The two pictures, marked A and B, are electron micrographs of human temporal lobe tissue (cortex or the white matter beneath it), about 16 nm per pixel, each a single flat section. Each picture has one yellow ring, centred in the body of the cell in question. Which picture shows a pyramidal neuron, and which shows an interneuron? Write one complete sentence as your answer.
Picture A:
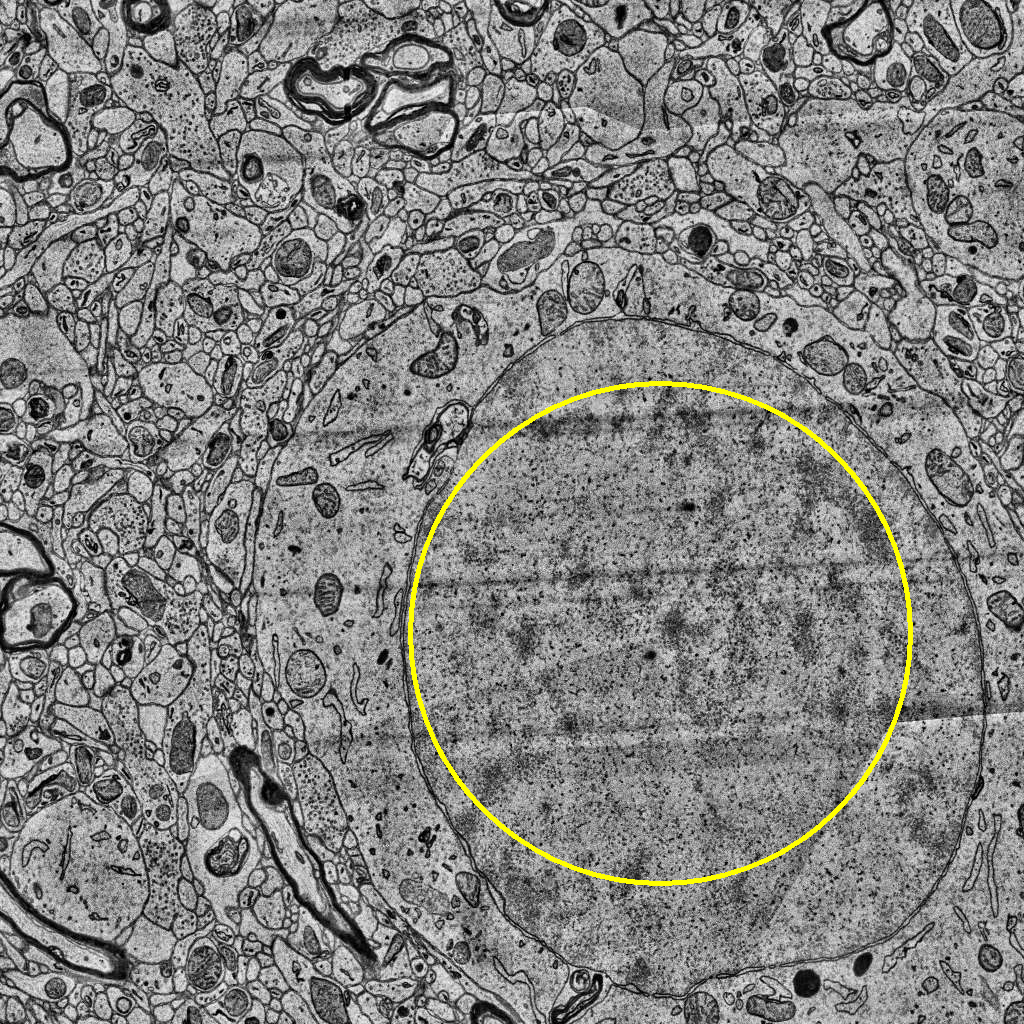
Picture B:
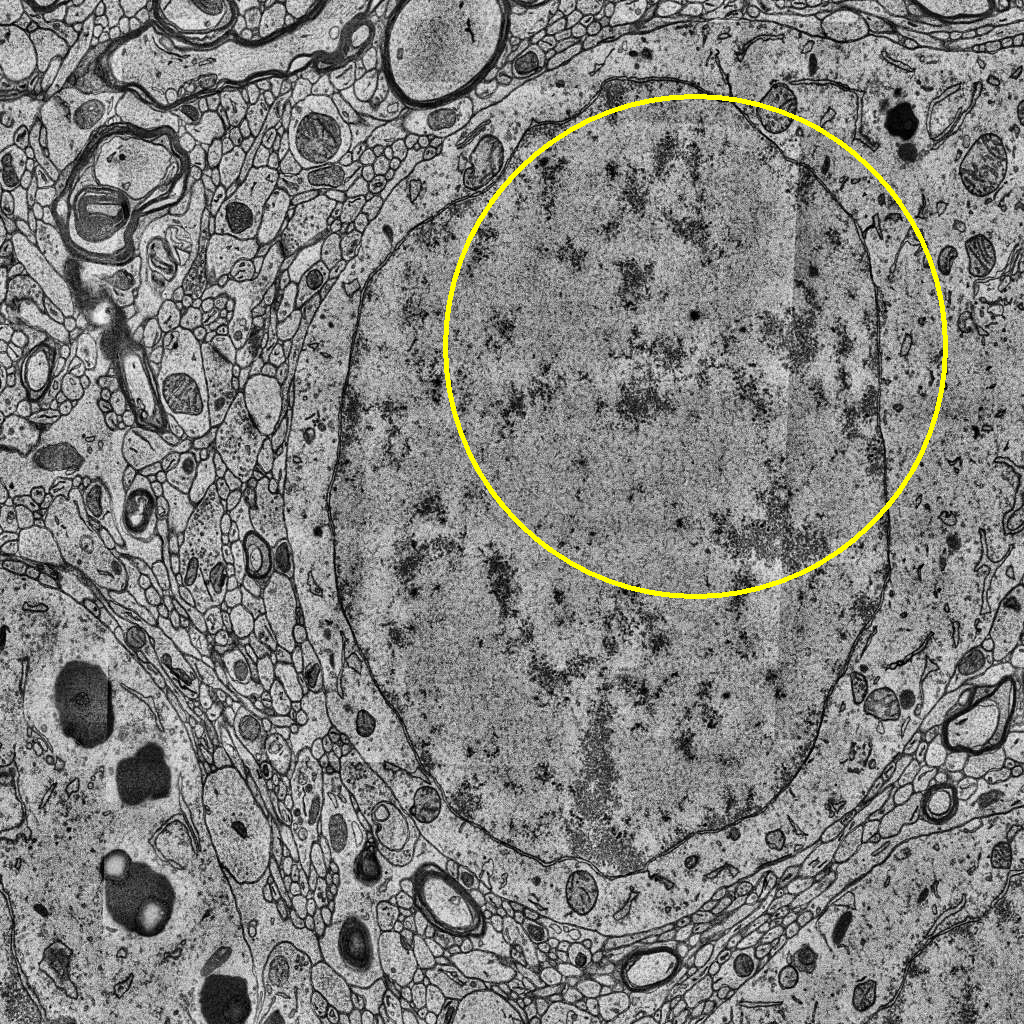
The cell in picture A is an interneuron, and the one in picture B is a pyramidal neuron.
